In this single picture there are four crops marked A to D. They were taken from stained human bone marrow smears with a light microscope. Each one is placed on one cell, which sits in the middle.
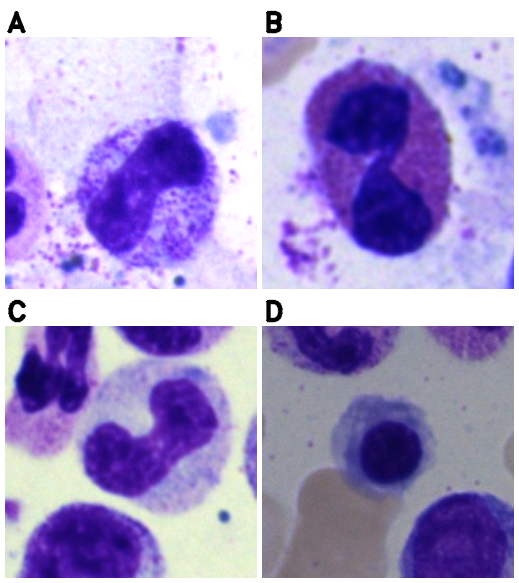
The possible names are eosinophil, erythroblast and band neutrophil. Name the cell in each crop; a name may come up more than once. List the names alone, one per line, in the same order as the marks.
band neutrophil
eosinophil
band neutrophil
erythroblast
